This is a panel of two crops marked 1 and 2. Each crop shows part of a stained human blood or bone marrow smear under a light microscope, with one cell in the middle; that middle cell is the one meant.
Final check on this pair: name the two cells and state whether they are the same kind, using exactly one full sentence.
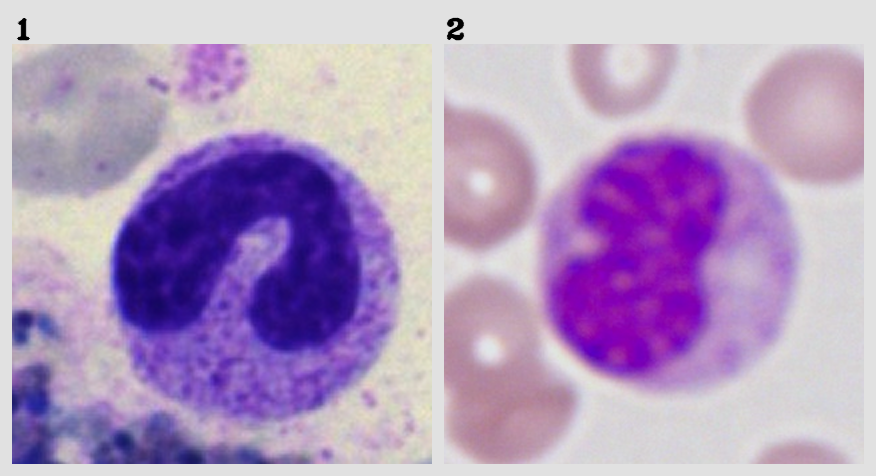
Yes, that is right, both crops show band neutrophils.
